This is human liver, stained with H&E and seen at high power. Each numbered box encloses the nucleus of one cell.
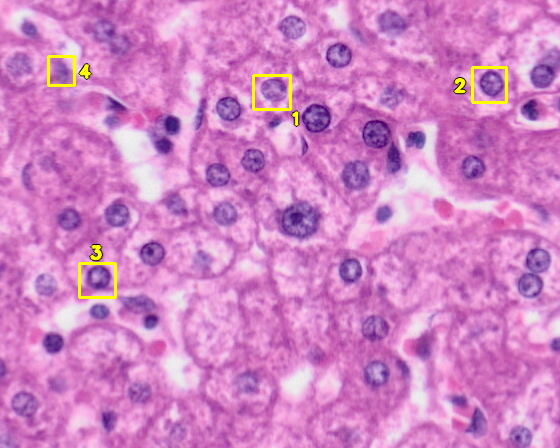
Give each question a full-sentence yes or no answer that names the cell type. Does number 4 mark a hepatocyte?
No, cell 4 is classified as a Kupffer cell rather than a hepatocyte.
